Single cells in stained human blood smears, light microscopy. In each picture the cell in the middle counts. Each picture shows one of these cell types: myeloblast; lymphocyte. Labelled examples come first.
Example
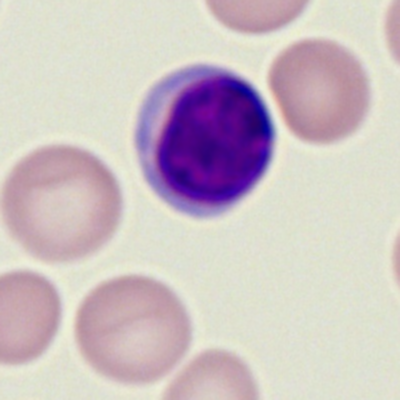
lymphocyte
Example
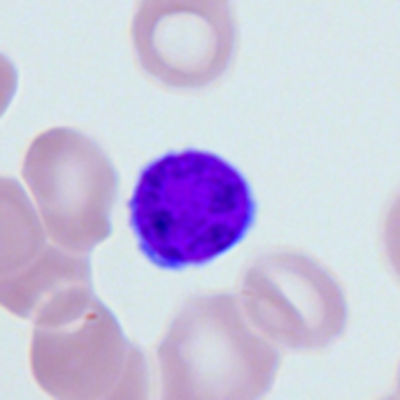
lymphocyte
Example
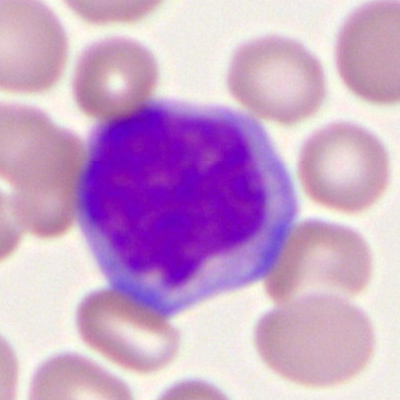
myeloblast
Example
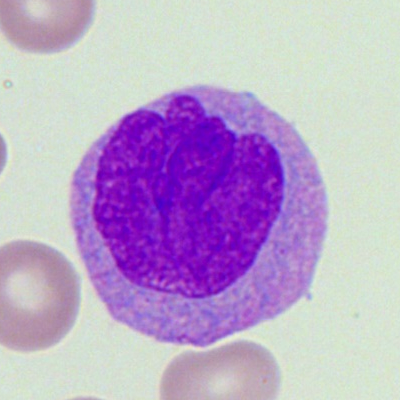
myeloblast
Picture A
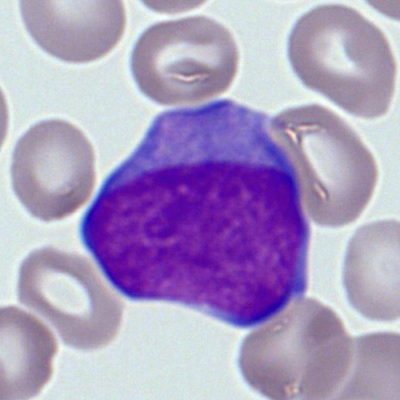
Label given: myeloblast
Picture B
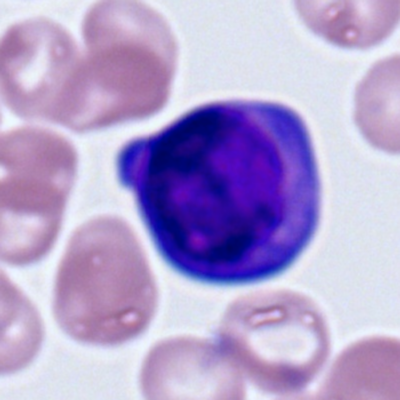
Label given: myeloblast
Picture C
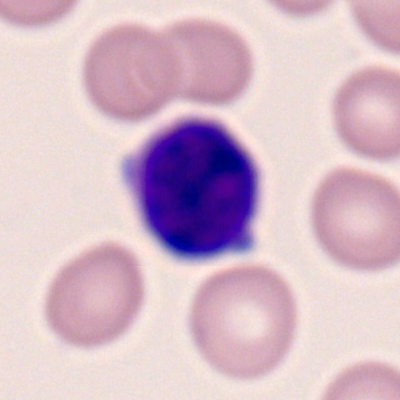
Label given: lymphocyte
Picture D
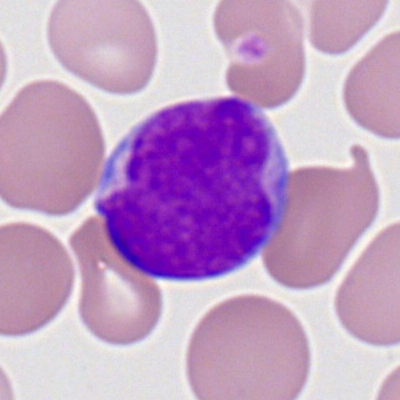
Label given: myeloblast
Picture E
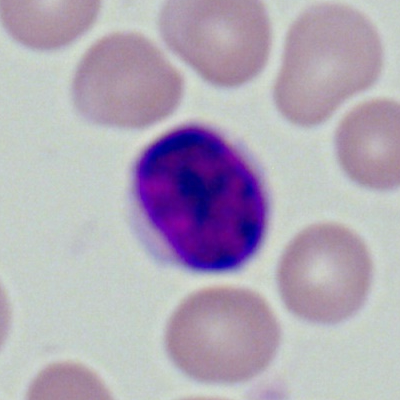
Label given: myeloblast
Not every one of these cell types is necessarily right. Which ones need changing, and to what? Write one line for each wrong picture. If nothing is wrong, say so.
E is labelled myeloblast; correct label: lymphocyte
